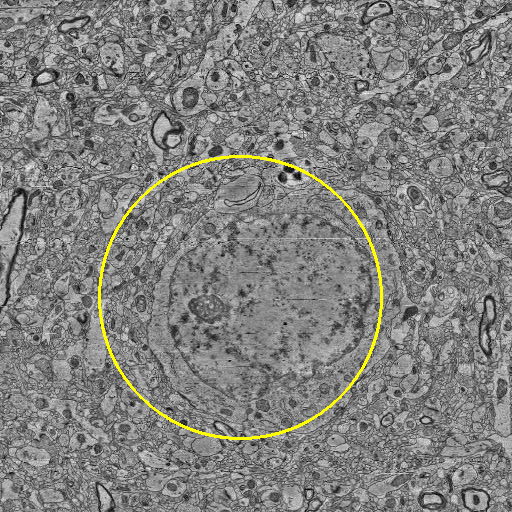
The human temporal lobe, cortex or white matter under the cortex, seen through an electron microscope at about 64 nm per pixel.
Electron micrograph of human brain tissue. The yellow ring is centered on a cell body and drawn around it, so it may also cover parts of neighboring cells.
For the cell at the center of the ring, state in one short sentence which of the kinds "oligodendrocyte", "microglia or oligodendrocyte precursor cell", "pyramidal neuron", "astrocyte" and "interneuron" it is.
This ring is centered on an interneuron.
